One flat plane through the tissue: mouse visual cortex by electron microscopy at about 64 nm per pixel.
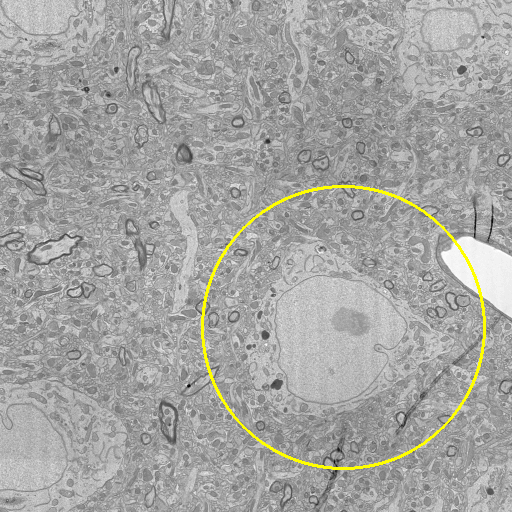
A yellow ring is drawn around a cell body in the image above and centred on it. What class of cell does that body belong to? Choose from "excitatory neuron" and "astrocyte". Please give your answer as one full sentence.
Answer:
The yellow ring above is centred on the cell body of an excitatory neuron.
